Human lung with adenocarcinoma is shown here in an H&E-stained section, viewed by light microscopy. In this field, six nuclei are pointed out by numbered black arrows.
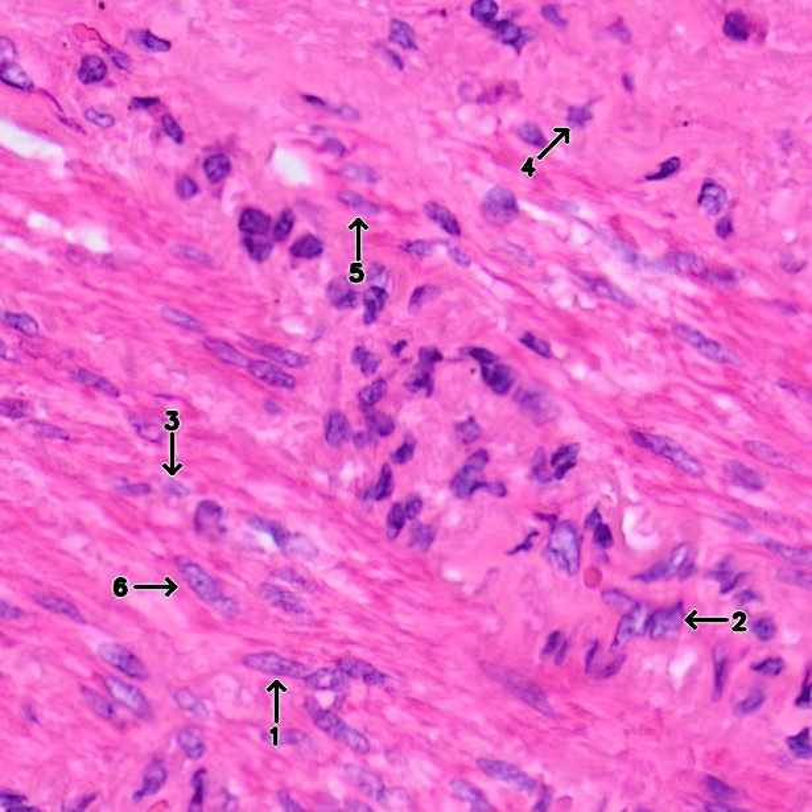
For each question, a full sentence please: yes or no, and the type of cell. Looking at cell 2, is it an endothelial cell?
Yes, it checks out; the cell labelled 2 is an endothelial cell.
